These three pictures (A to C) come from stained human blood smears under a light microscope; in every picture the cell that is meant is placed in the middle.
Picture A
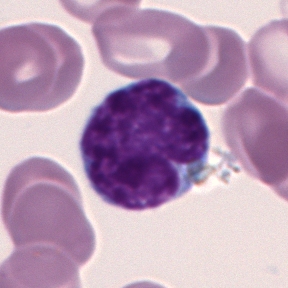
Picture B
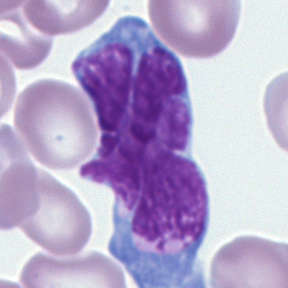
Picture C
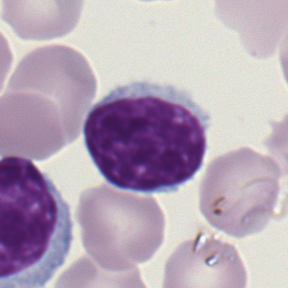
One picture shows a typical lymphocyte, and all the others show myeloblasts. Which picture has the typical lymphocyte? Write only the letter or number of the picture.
C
